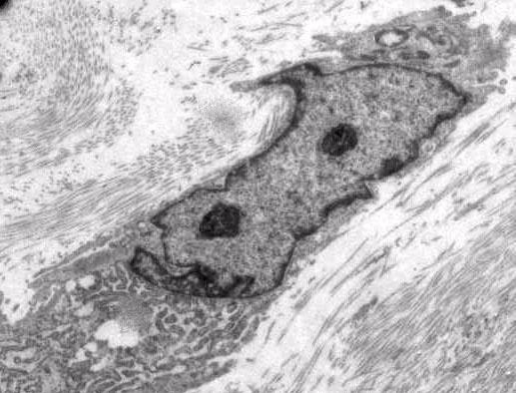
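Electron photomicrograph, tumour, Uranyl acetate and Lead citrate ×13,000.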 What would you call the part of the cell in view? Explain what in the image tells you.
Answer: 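Prominent endoplasmic reticulum. The cytoplasm at lower left holds many branching membrane-bound tubular profiles. These profiles have pale, dilated lumina.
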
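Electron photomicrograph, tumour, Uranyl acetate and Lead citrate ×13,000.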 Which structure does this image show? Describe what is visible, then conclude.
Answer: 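Fine fibrillar bundles fill the space around the cell. Some fibril bundles run lengthwise, others are cut across as dotted fields.
Answer: collagen fibrils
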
